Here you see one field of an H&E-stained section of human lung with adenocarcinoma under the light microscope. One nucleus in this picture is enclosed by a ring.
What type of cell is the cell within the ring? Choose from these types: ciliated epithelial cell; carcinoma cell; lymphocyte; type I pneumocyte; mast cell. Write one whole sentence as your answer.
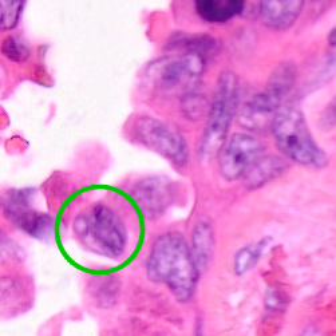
The cell within the ring is a carcinoma cell.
